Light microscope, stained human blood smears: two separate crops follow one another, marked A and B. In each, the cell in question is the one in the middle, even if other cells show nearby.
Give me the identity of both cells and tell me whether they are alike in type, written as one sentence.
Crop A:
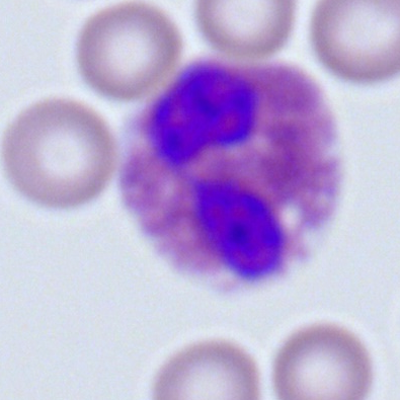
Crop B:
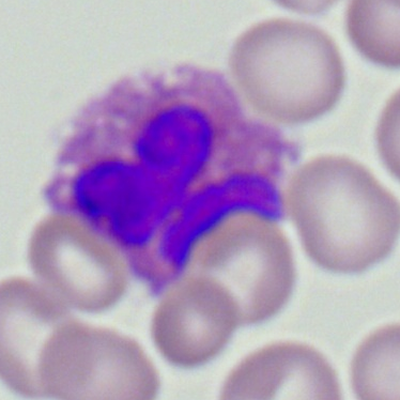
Yes, both crops show eosinophils as the central cells.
